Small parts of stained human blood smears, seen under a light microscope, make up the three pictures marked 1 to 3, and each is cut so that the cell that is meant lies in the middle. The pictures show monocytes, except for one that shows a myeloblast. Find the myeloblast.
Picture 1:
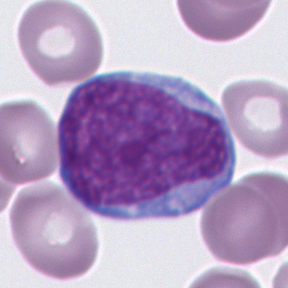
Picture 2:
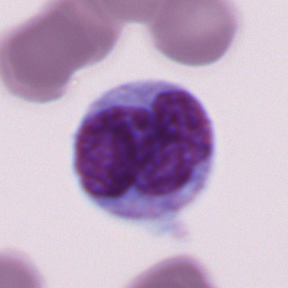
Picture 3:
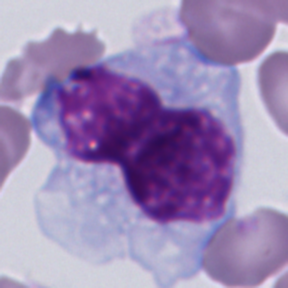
1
